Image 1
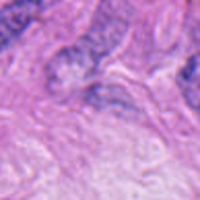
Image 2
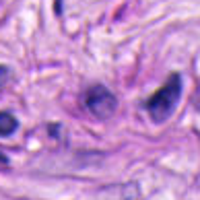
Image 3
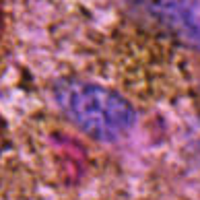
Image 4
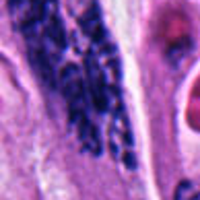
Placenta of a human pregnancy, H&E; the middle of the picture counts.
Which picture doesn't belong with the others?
Picture 4.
